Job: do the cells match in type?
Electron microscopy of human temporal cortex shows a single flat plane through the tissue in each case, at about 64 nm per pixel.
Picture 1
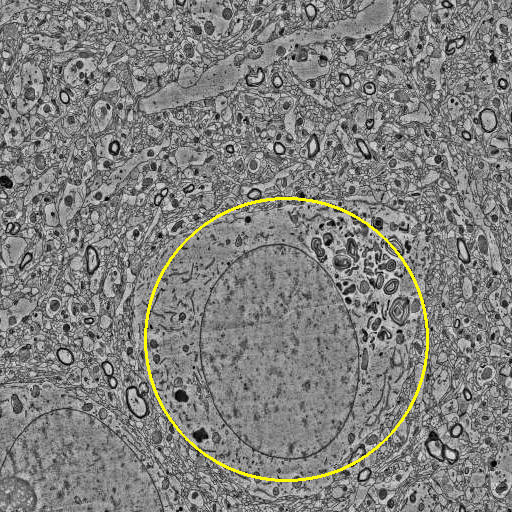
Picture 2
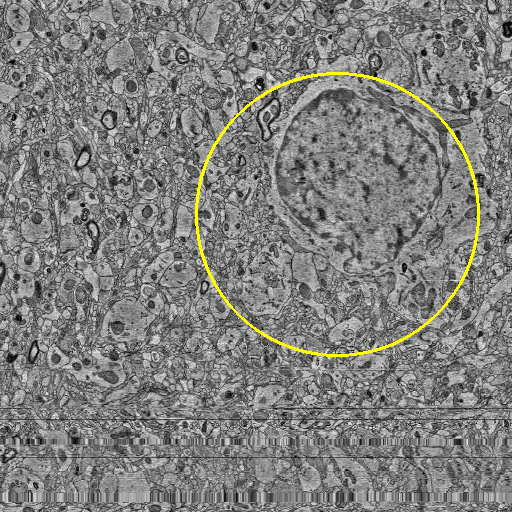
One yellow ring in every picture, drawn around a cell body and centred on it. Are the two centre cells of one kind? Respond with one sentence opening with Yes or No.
No, the ringed cells in the two pictures are of two separate kinds.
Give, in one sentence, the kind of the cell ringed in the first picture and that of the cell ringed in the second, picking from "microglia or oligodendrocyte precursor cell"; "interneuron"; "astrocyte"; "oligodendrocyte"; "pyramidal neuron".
For the first picture it is a pyramidal neuron; for the second, a microglial cell or oligodendrocyte precursor cell.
